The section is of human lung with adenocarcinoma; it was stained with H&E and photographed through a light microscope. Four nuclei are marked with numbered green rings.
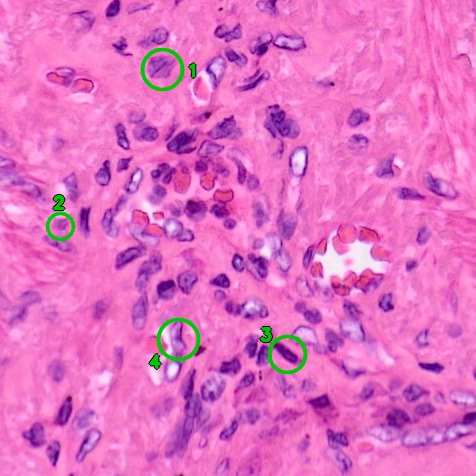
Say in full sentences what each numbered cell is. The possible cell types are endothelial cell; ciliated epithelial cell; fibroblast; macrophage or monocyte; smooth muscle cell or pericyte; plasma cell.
Cell 1 is a fibroblast. Cell 2 is a smooth muscle cell or pericyte. Cell 3 is a plasma cell. Cell 4 is an endothelial cell.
